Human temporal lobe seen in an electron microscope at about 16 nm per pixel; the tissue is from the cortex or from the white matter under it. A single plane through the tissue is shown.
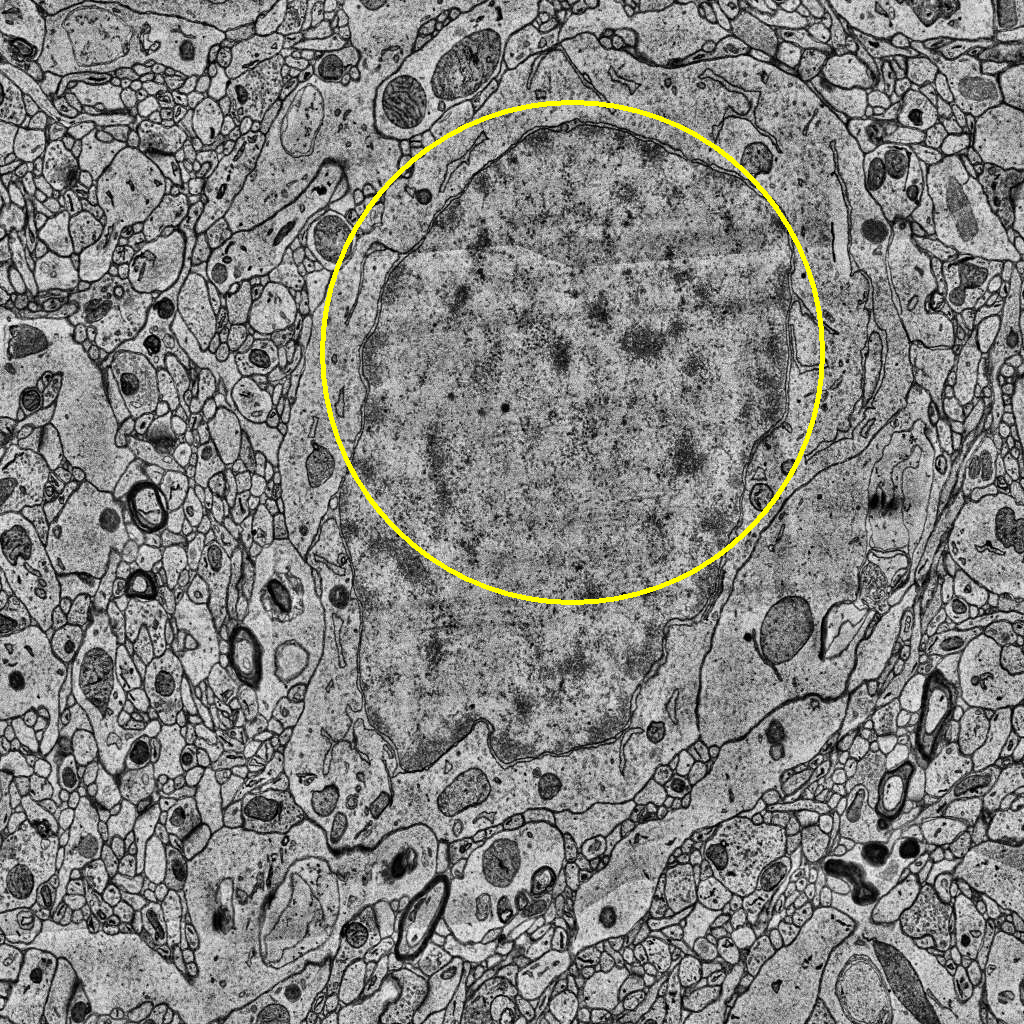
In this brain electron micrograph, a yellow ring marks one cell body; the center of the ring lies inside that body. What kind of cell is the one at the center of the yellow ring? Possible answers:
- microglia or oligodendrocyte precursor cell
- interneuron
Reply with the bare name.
interneuron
